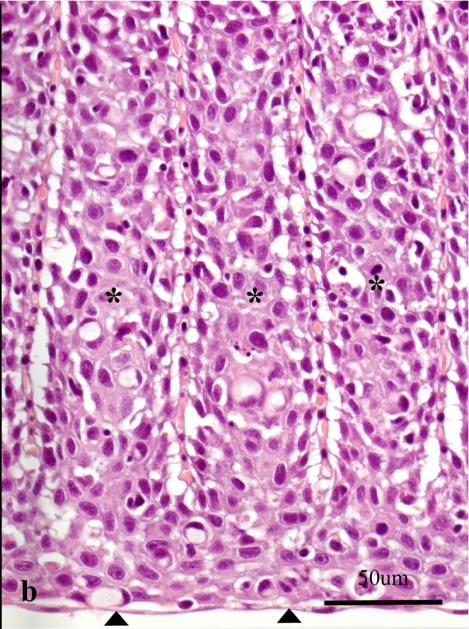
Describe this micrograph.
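This is gill tissue in which the lamellae are buried in a thick mass of proliferated epithelial cells. The cells are polygonal with round to oval dark purple nuclei and pale pink cytoplasm, some containing clear vacuoles. Thin vertical lines of lamellar blood vessels with red blood cells still run through the mass. At the outer surface the cells are flattened into a layered covering.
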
